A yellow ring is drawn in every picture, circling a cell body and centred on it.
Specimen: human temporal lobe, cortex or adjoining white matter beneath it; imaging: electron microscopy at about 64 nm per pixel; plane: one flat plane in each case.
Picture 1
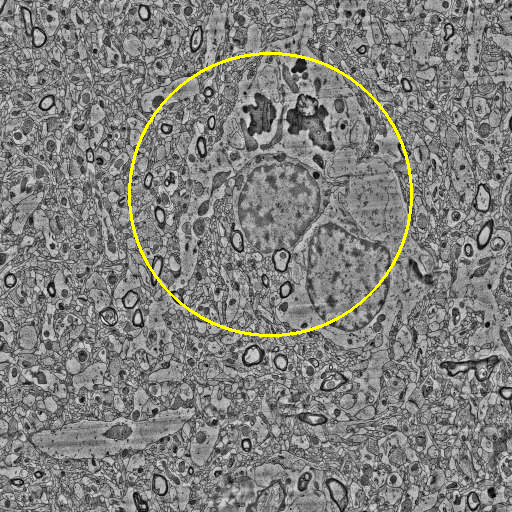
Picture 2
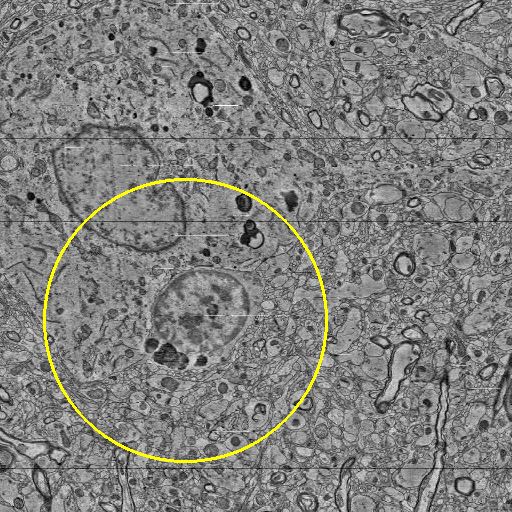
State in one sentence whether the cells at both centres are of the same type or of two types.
The cells at the two ring centres, one per picture, are of the same type.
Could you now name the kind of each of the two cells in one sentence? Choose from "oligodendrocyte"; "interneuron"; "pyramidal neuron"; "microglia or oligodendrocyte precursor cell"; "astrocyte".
Each cell at the centre of a ring is an oligodendrocyte.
